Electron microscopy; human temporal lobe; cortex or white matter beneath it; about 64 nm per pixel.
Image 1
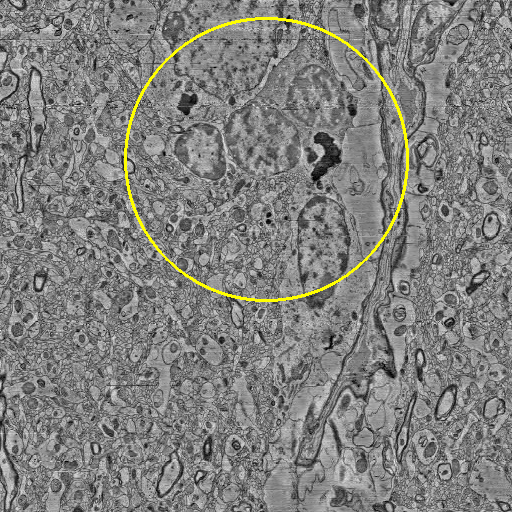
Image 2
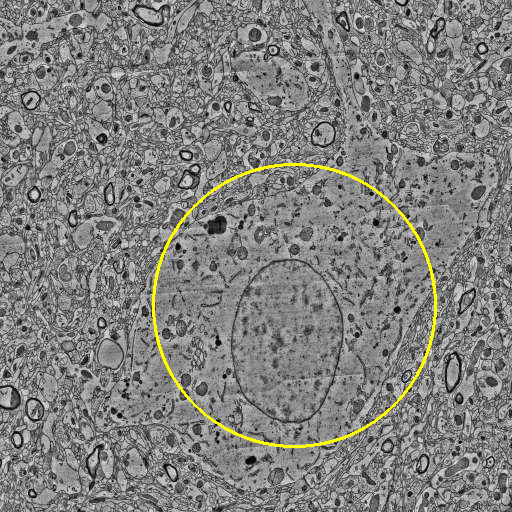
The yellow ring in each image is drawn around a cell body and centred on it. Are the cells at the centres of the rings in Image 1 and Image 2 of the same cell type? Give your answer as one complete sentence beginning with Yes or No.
No, the two cells are of two separate types.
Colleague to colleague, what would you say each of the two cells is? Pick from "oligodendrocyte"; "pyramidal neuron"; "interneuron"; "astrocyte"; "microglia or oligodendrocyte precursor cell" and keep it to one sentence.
The cell in the first picture is an oligodendrocyte; the second picture's cell is a pyramidal neuron.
